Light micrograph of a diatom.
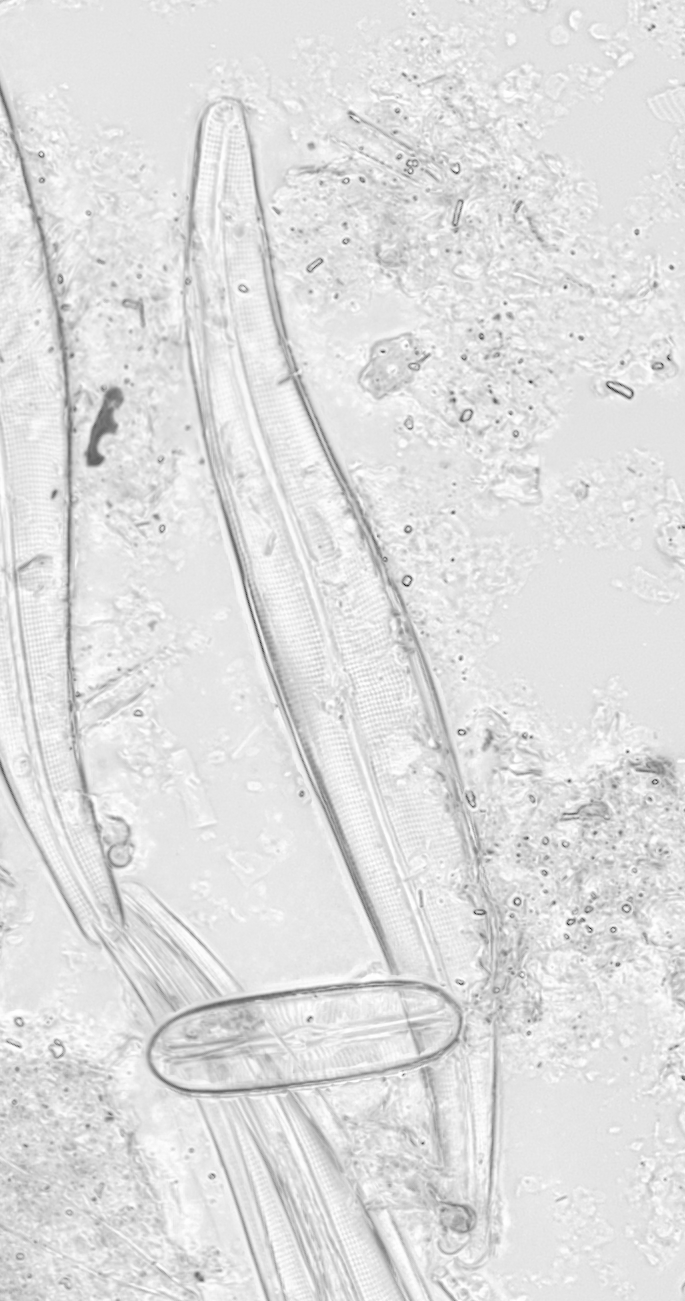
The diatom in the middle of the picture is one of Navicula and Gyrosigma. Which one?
Gyrosigma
